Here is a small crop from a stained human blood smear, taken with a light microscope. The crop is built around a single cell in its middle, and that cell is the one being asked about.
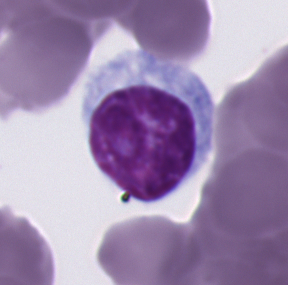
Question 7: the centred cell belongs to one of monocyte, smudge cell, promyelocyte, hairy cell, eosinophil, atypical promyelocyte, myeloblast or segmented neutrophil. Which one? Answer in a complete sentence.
Here the cell in the middle is a hairy cell.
